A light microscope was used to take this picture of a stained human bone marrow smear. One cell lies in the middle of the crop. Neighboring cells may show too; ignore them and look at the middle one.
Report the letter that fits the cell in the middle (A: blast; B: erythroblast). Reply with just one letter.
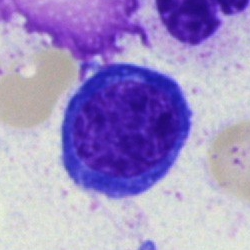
B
